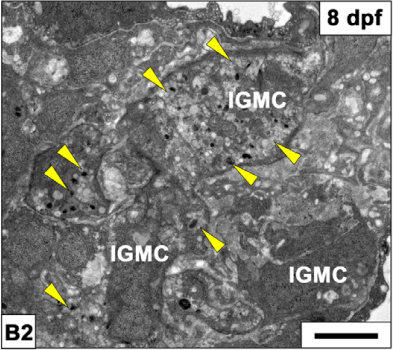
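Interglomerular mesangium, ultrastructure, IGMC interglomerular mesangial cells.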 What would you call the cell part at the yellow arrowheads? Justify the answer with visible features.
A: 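Granules. Small dark dots and pale vesicles scattered in the cytoplasm of the cells. The bodies differ in darkness.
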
